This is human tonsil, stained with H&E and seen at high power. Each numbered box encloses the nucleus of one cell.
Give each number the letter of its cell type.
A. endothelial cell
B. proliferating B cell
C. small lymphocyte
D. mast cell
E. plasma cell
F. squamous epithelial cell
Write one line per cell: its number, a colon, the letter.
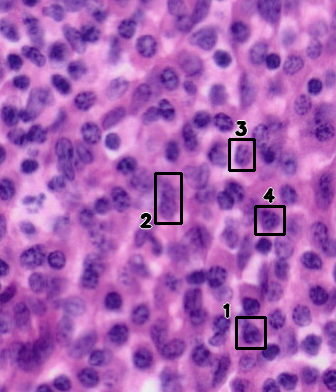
1: E
2: F
3: E
4: E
